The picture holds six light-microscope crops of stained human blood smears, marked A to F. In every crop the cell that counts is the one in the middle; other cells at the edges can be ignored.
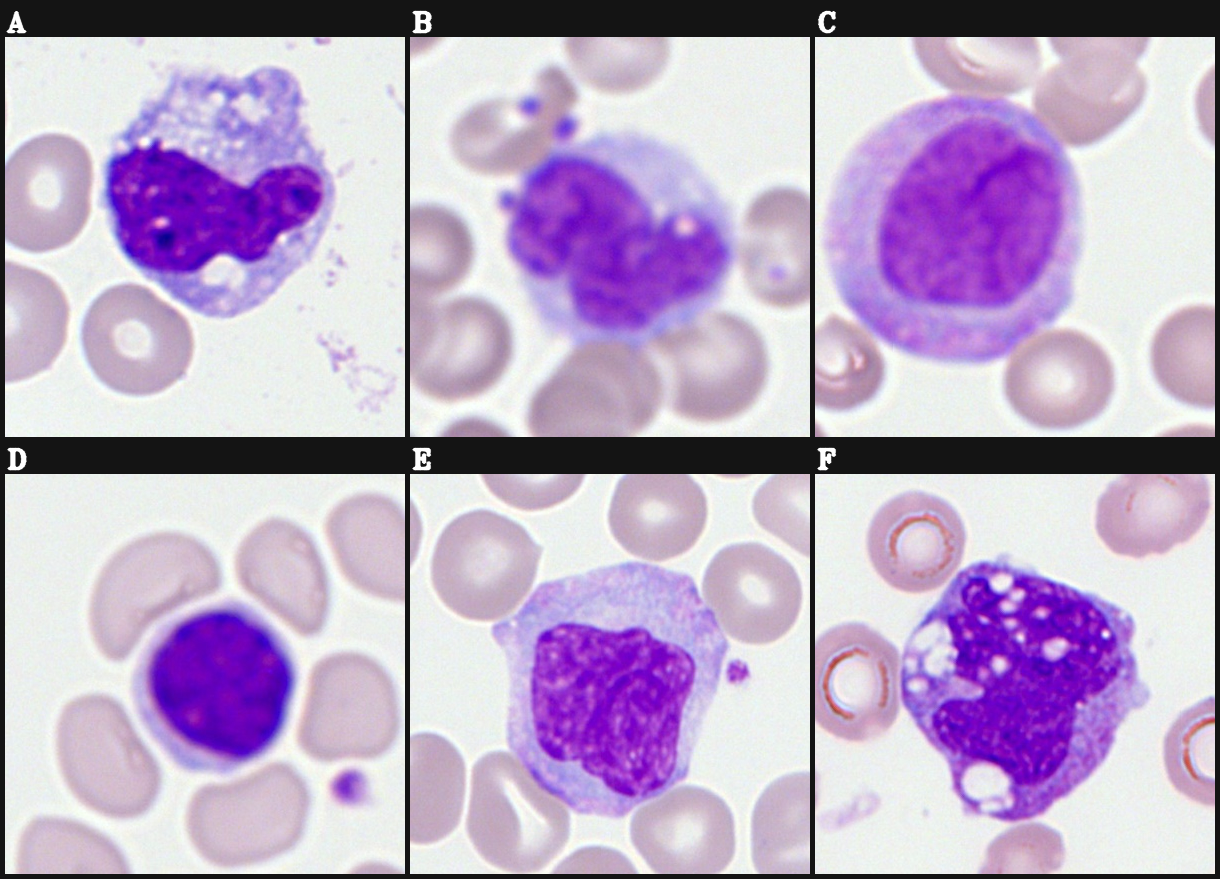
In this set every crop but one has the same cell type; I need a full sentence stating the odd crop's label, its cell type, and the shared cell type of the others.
Here the outlier is crop D, which is a lymphocyte, and the rest are monocytes.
